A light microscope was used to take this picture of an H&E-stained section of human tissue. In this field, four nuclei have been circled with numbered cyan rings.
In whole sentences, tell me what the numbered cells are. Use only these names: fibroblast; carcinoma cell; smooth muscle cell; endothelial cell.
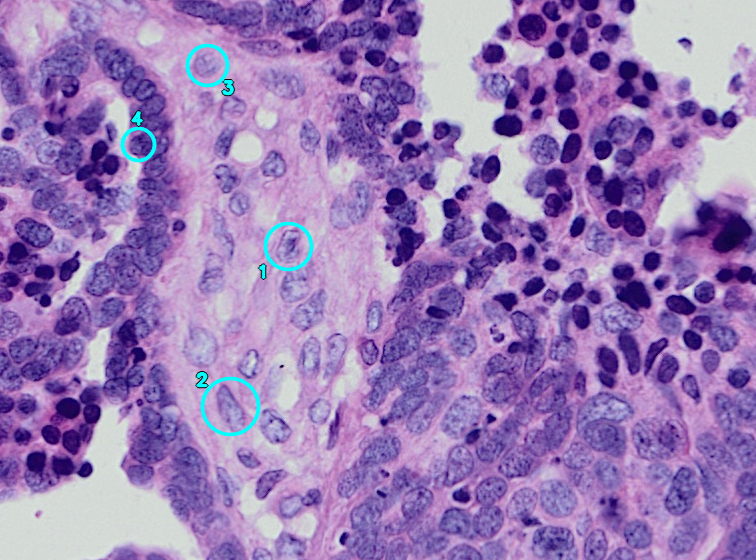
Cells 1, 2 and 3 are fibroblasts. Cell 4 is a carcinoma cell.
